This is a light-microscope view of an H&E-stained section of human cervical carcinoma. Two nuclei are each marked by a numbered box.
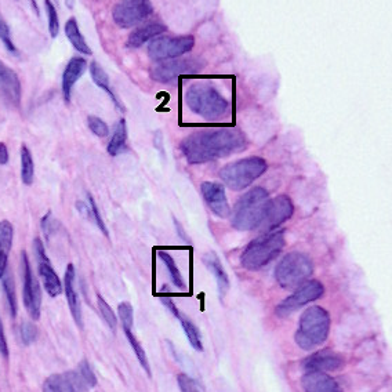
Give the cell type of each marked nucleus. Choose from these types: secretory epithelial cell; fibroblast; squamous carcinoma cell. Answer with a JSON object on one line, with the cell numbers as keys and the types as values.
{"1": "fibroblast", "2": "secretory epithelial cell"}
